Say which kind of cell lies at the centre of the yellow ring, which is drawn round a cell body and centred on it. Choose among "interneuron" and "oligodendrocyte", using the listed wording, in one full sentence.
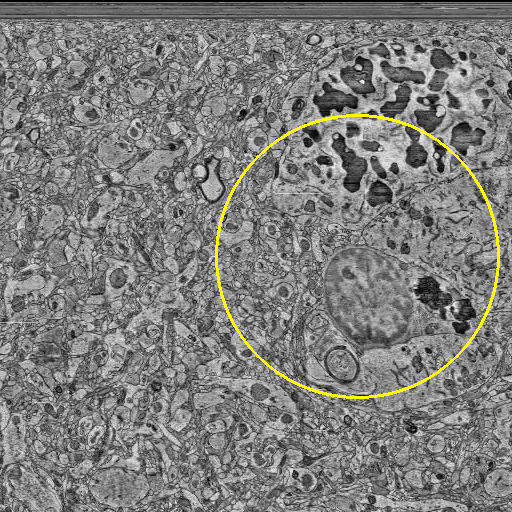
Going by the list, the cell at the yellow ring's centre is an oligodendrocyte.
